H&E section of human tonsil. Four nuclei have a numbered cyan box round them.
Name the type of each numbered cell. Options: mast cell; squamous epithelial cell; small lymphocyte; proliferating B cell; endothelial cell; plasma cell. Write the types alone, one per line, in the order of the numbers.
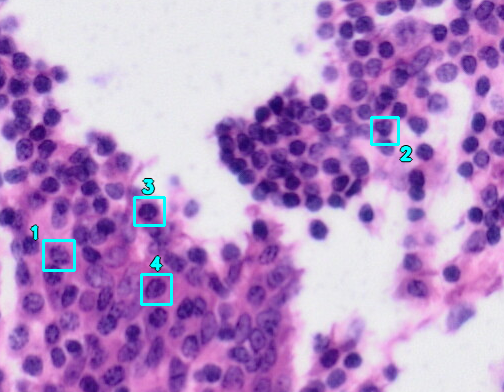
plasma cell
small lymphocyte
plasma cell
plasma cell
